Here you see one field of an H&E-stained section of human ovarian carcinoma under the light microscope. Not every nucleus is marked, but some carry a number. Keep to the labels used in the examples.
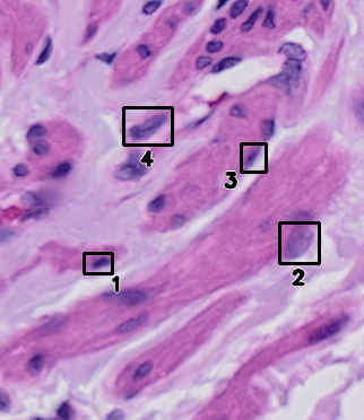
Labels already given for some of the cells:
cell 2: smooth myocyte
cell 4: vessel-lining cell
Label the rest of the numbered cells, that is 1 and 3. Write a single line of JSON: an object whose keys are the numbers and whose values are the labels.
{"1": "smooth myocyte", "3": "smooth myocyte"}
